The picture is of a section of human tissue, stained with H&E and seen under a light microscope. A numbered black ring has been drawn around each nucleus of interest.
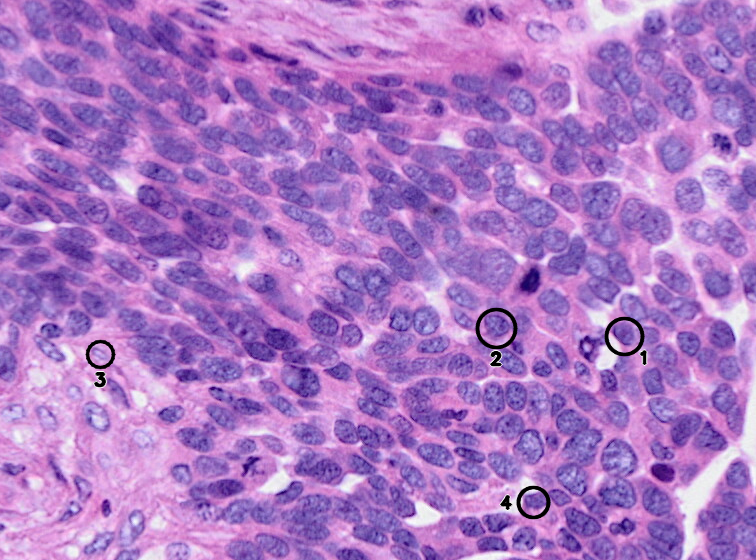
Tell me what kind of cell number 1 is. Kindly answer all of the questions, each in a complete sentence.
Heads up, the cell numbered 1 is a carcinoma cell.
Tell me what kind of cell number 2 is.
The cell indicated by marker 2 is a carcinoma cell in this section.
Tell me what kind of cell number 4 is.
Cell 4 in the field is a carcinoma cell.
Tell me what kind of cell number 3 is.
The cell indicated by marker 3 is a fibroblast in this section.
